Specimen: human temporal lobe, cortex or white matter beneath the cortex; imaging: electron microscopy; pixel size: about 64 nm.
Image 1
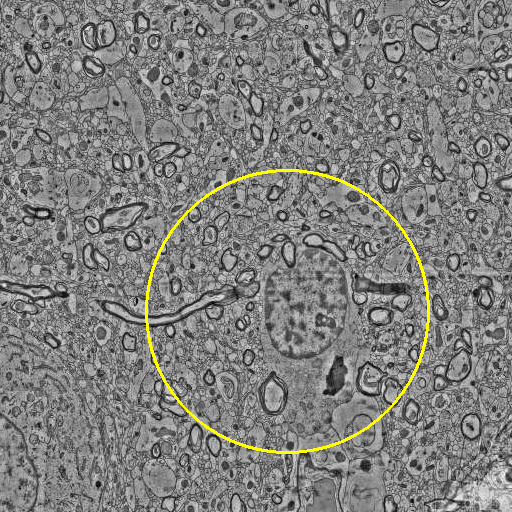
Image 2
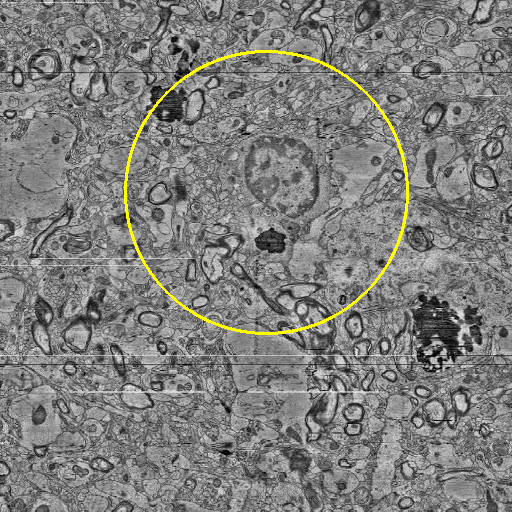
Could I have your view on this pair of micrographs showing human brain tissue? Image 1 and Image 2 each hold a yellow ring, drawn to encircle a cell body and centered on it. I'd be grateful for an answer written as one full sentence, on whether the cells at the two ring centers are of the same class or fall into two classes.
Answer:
The cells at the centers of the two rings are of the same class.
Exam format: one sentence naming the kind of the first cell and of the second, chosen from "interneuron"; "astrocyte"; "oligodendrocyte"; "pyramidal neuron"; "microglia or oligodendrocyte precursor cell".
Both rings mark an oligodendrocyte, one in each picture.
